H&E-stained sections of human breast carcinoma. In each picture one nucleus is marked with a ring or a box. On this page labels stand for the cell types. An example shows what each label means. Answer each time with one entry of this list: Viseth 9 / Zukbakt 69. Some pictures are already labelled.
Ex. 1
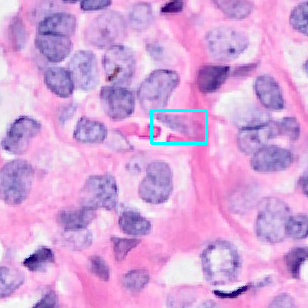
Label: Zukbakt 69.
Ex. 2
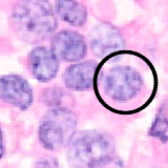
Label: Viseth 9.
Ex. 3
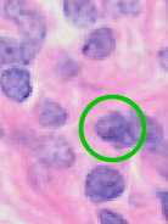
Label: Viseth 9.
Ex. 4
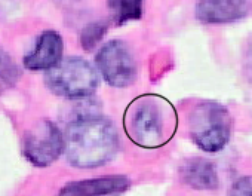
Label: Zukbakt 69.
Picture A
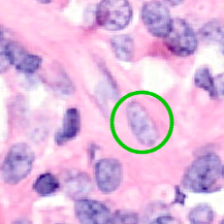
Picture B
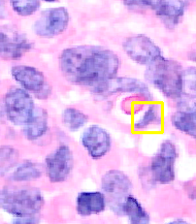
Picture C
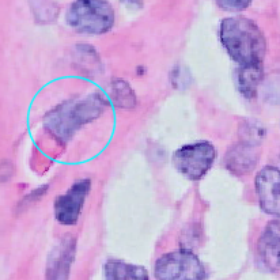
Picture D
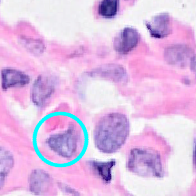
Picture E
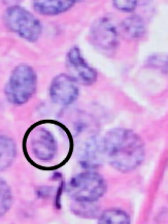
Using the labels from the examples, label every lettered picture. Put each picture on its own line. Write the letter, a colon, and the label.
A: Zukbakt 69.
B: Zukbakt 69.
C: Zukbakt 69.
D: Zukbakt 69.
E: Viseth 9.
